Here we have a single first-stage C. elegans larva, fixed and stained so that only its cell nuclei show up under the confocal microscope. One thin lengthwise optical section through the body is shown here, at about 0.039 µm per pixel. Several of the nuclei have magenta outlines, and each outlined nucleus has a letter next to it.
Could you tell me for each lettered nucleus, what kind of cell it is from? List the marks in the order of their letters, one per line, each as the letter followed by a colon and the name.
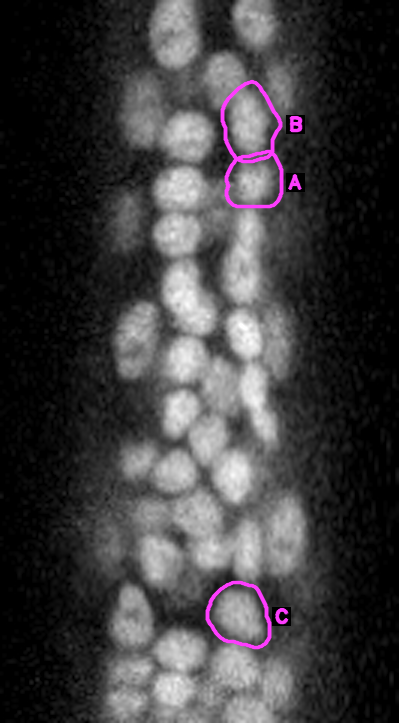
A: glial cell (sheath or socket)
B: hypodermal cell (hyp)
C: neuron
